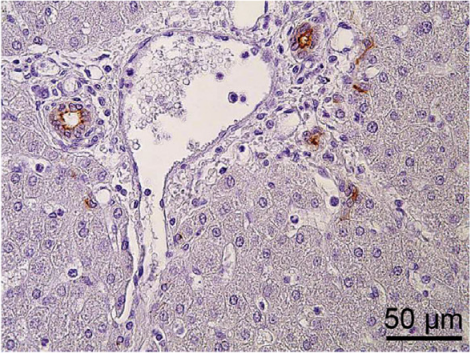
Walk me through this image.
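Liver tissue around a connective tissue area holding a large, thin-walled vessel with a wide, nearly empty lumen. Around this area lie sheets of large polygonal parenchymal cells with round, centrally placed nuclei and pale, finely granular cytoplasm. Within the connective tissue, beside the vessel, sit a few small round ducts lined by a single layer of cuboidal cells; their inner surfaces carry a brown stain. Scattered smaller elongated nuclei belong to the loose connective tissue. A few fine brown dots and short streaks also appear between nearby parenchymal cells.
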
